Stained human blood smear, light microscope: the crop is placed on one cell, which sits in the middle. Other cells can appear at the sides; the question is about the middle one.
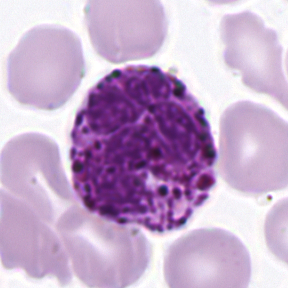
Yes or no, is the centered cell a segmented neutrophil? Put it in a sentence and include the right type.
No, the cell in the middle should be called a basophil instead of a segmented neutrophil.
